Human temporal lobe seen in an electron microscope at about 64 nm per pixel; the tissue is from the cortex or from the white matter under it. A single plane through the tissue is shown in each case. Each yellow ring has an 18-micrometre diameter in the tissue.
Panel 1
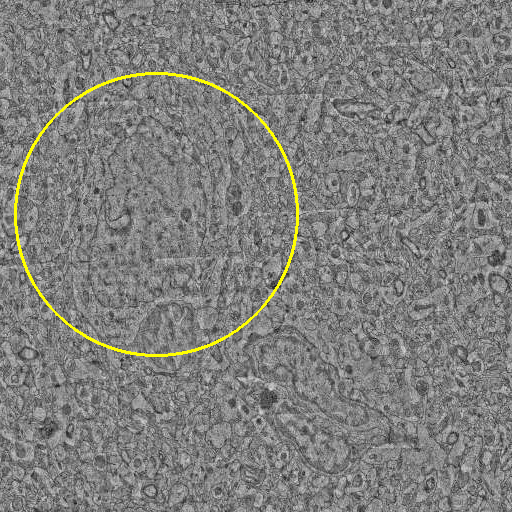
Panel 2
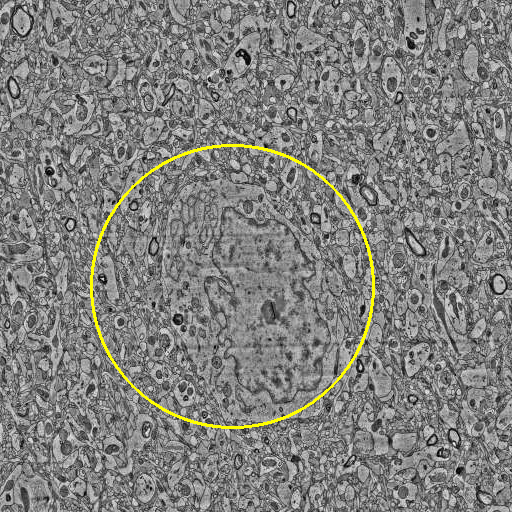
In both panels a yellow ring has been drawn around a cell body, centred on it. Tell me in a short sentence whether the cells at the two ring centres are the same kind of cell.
Yes, they are the same kind of cell.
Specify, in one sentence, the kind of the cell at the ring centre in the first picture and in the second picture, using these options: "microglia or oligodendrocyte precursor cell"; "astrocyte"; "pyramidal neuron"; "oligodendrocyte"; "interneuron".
Each cell at the centre of a ring is an interneuron.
